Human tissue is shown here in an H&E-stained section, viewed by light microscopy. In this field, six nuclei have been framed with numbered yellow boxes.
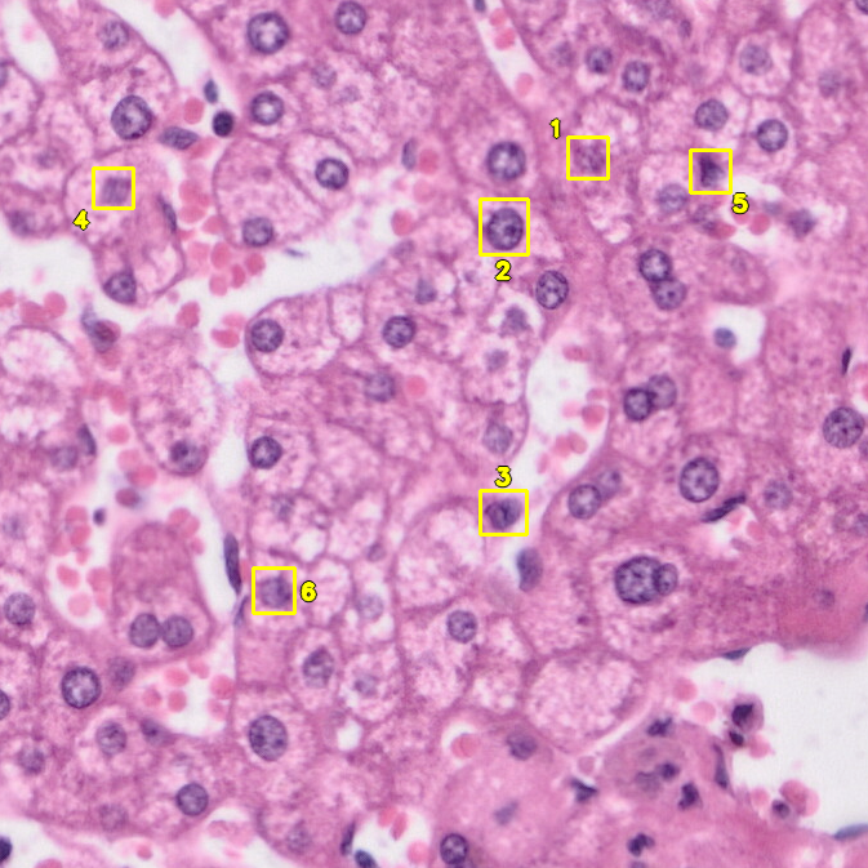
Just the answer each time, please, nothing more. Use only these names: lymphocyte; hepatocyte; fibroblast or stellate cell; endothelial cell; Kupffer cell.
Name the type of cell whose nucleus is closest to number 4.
endothelial cell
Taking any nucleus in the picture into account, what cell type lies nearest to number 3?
endothelial cell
